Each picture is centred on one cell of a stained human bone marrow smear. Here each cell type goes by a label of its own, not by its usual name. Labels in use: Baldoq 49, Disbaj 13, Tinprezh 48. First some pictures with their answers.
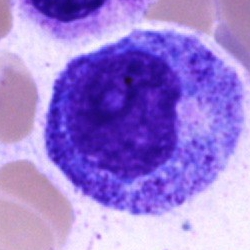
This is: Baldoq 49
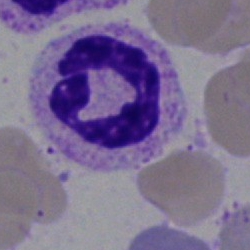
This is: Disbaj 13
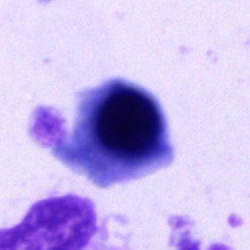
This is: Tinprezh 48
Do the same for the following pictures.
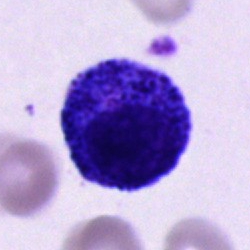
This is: Baldoq 49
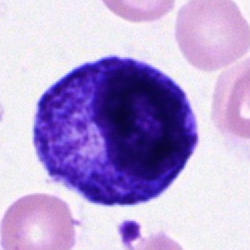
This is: Baldoq 49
